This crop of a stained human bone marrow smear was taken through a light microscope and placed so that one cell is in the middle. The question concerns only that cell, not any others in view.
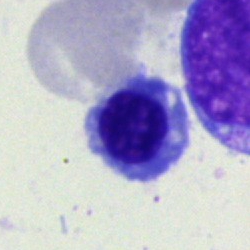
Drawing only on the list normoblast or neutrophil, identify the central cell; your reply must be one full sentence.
The middle cell in this particular crop is a normoblast.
